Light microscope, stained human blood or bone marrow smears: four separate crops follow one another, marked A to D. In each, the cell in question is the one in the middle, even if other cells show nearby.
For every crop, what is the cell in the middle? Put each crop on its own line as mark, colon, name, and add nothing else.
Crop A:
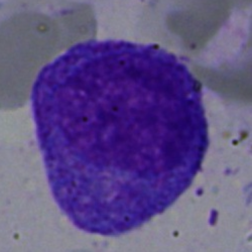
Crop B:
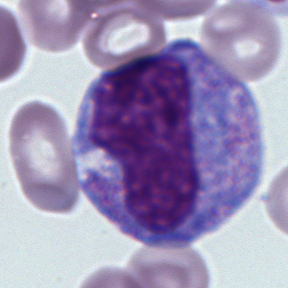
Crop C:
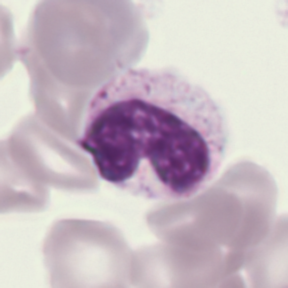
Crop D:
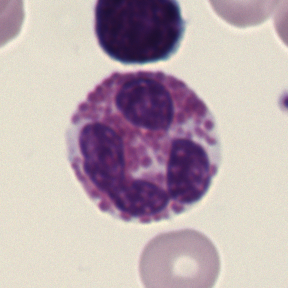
A: promyelocyte
B: promyelocyte
C: band neutrophil
D: eosinophil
